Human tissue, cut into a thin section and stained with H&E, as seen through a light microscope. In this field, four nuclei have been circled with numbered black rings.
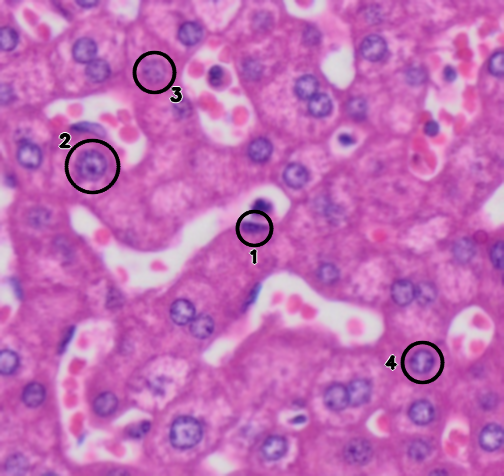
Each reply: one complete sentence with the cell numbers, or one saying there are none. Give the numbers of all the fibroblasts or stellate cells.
Among the numbered nuclei, only the one labelled 1 belongs to a fibroblast or stellate cell.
